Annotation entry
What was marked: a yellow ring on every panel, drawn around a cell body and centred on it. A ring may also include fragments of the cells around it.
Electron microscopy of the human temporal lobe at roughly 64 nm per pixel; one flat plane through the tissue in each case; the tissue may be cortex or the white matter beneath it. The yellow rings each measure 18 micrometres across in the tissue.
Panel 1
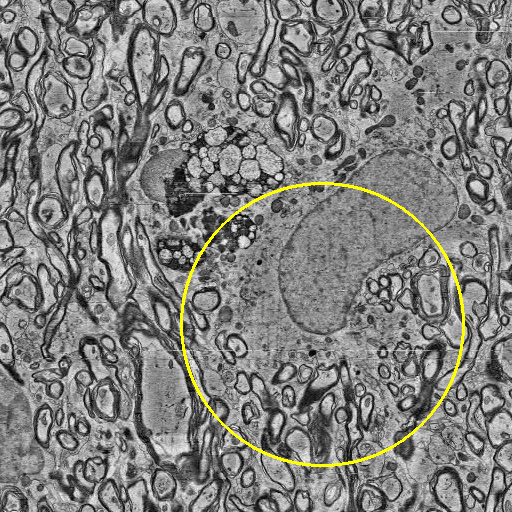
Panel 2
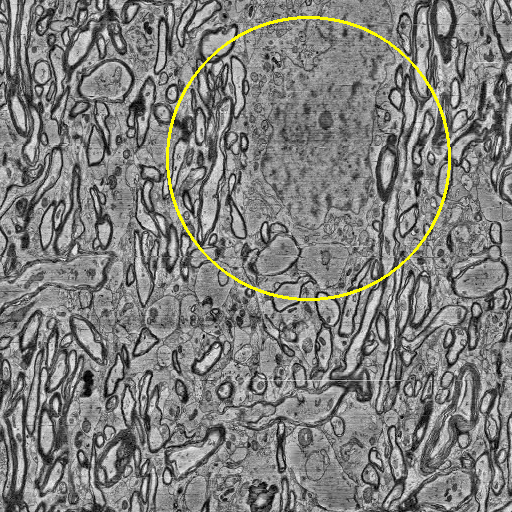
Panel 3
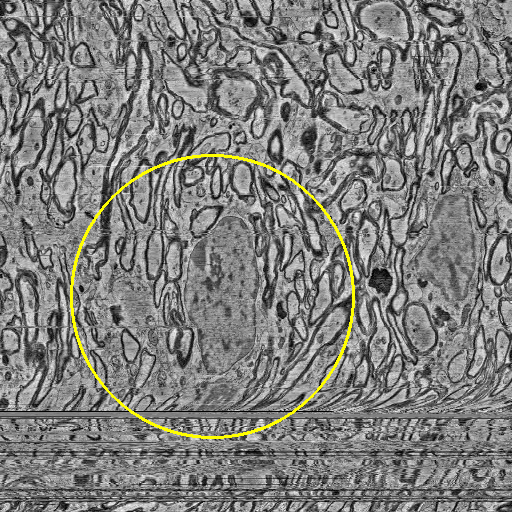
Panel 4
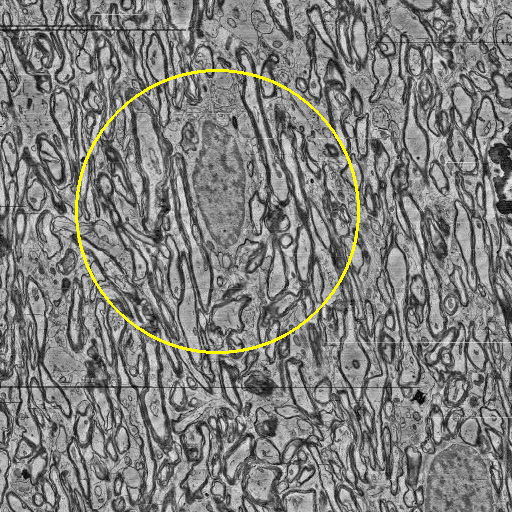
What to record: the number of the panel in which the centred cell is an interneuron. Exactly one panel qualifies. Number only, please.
2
